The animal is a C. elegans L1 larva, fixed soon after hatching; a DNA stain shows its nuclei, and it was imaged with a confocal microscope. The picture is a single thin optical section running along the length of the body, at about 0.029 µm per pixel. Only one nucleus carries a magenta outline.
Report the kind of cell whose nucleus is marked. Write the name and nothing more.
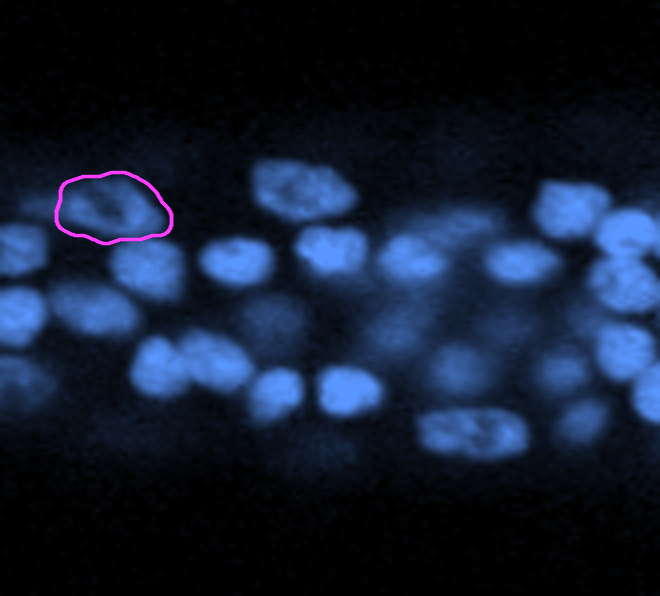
body wall muscle cell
